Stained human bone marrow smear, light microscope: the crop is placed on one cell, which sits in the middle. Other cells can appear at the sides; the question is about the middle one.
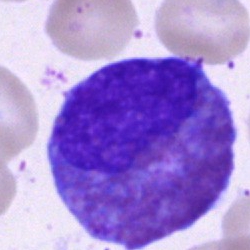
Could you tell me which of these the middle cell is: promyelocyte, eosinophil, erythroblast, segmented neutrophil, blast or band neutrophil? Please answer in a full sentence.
The cell in the middle of the field of view is an eosinophil.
